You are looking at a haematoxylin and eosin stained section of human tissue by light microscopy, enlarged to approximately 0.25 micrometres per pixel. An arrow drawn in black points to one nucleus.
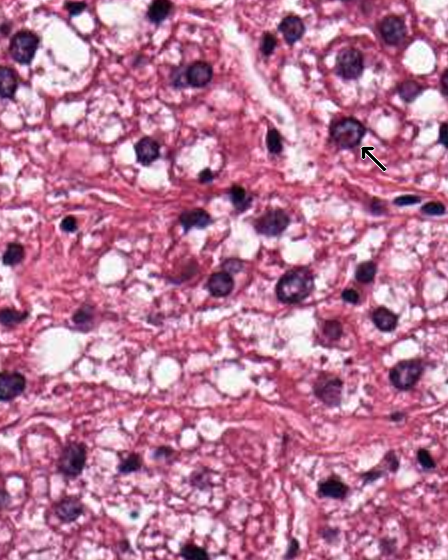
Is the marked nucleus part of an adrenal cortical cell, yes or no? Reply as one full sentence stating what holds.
Yes, the marked nucleus, in this picture, is that of an adrenal cortical cell.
